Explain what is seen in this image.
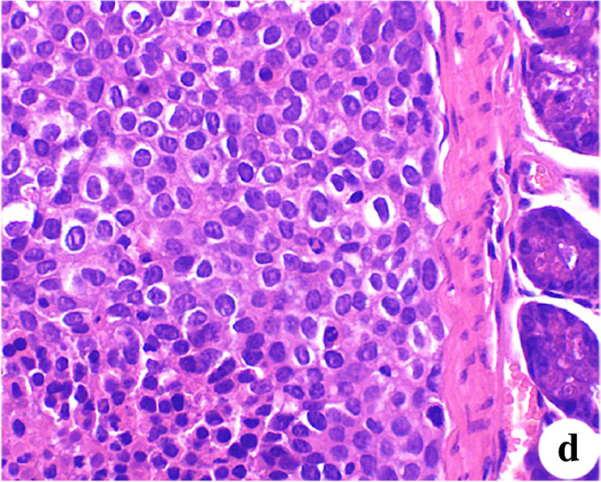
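The tumor cells have large, round to oval, darkly stained purple nuclei that occupy most of each cell, leaving only a thin rim of pale pink cytoplasm. Some nuclei show small nucleoli. On the right, a band of pink, elongated smooth muscle cells with spindle-shaped nuclei separates the tumor from the deep parts of mucosal glands, whose epithelial cells have crowded dark nuclei. The tumor cells do not cross this muscle band.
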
